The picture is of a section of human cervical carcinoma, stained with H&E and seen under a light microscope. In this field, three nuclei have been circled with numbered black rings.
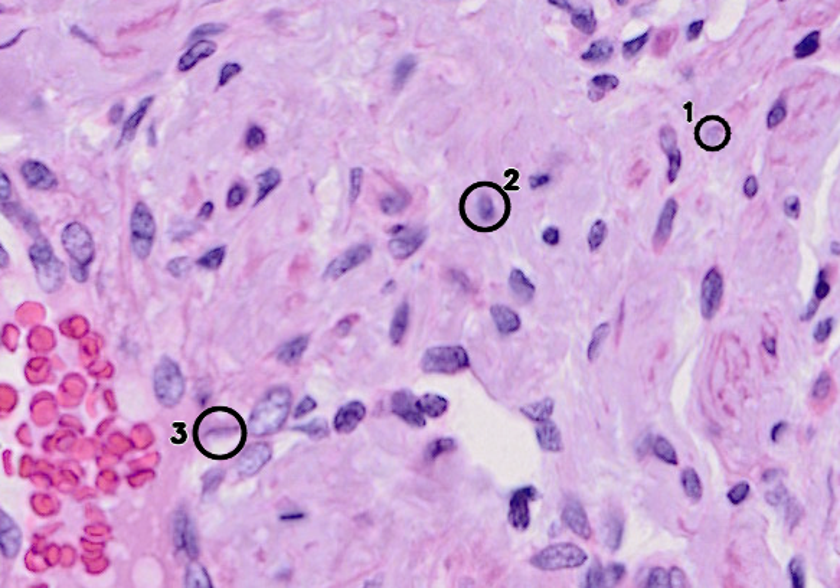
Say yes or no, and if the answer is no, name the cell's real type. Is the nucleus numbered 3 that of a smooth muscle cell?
No, it is an endothelial cell.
